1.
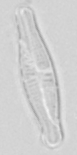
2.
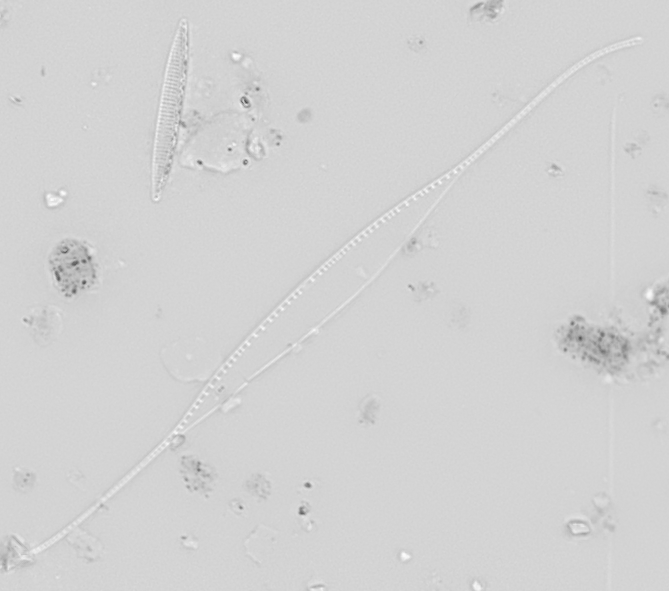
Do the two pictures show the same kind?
No: Achnanthidium, then Nitzschia.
